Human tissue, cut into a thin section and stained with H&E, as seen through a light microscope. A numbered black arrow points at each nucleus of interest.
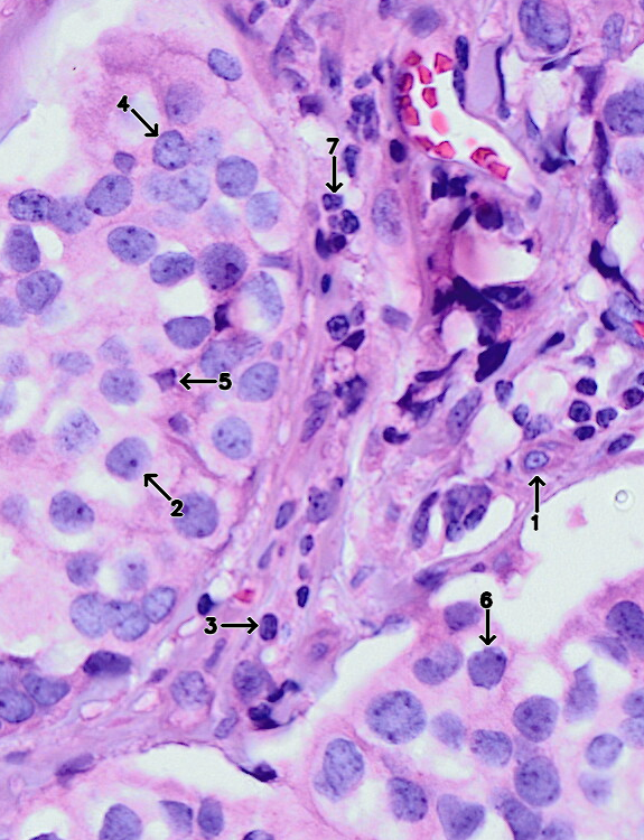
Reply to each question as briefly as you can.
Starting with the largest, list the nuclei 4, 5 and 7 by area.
4, 5, 7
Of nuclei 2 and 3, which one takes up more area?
2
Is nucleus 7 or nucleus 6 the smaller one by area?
7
